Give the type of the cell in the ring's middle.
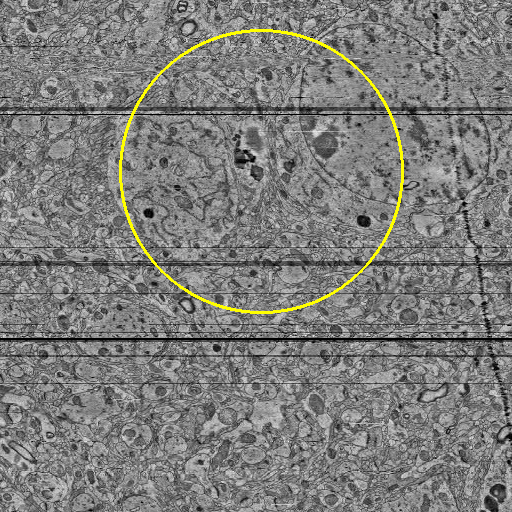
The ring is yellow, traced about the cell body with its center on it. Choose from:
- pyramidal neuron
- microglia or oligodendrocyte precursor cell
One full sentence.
Here, a microglial cell or oligodendrocyte precursor cell is the cell lying at the center of the yellow ring.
